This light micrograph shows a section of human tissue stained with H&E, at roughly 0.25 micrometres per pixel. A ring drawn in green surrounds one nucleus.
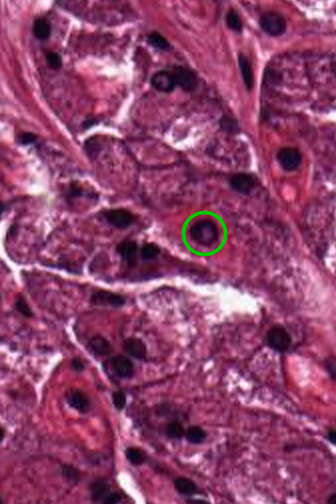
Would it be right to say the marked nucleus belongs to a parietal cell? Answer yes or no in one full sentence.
Yes, the marked nucleus, as shown, belongs to a parietal cell.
